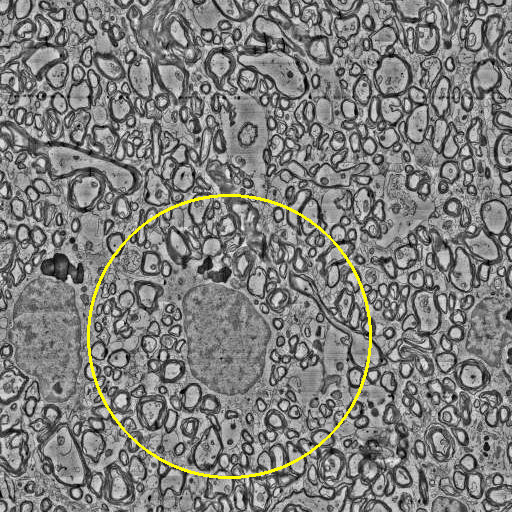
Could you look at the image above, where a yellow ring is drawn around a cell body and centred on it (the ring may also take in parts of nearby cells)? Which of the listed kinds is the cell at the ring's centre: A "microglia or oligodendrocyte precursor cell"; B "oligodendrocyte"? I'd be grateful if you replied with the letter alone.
B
